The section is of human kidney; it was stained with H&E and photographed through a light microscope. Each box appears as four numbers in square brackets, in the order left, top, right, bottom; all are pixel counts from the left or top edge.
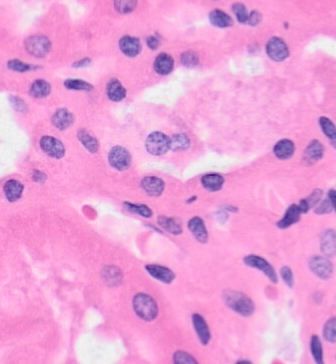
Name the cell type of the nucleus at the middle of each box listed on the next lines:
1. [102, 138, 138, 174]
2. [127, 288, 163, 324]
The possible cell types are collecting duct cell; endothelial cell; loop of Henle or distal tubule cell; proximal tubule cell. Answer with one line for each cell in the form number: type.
1: loop of Henle or distal tubule cell
2: proximal tubule cell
